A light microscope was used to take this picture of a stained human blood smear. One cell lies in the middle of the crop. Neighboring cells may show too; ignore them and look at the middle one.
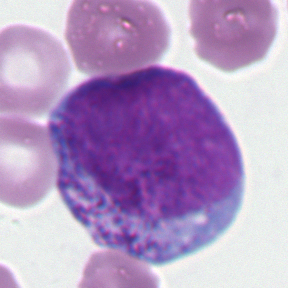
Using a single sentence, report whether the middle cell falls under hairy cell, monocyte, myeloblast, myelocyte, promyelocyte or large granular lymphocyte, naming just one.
For this crop, the central cell is a promyelocyte.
